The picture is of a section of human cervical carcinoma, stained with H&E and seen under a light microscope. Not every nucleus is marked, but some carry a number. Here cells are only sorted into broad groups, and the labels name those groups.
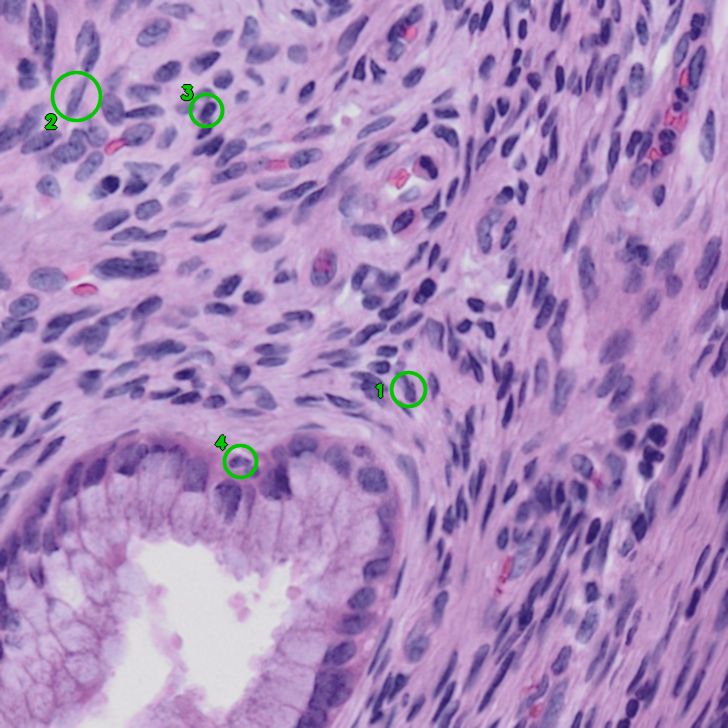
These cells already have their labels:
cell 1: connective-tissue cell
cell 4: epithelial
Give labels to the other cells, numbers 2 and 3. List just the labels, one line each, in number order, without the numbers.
connective-tissue cell
connective-tissue cell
